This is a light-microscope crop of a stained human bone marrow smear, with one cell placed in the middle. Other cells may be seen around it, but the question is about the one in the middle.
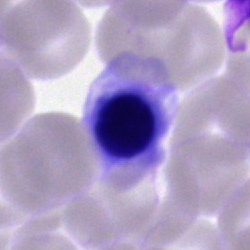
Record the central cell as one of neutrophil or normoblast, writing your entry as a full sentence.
The cell at the centre of the field is a normoblast.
